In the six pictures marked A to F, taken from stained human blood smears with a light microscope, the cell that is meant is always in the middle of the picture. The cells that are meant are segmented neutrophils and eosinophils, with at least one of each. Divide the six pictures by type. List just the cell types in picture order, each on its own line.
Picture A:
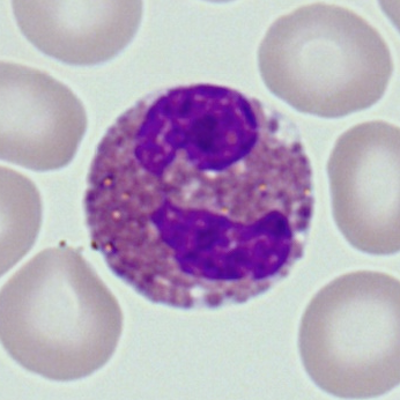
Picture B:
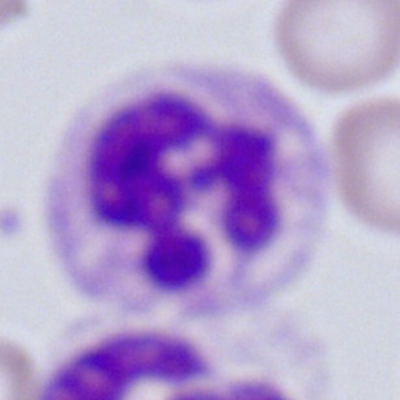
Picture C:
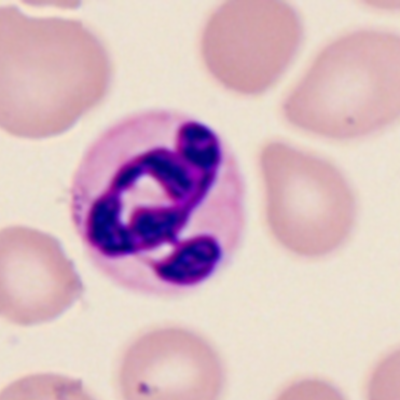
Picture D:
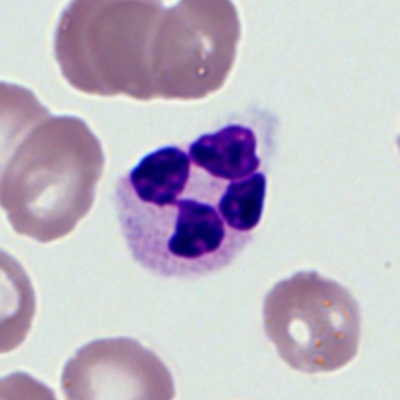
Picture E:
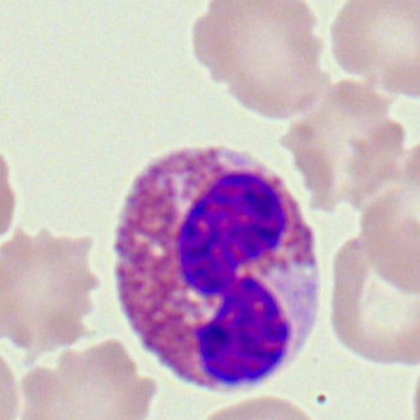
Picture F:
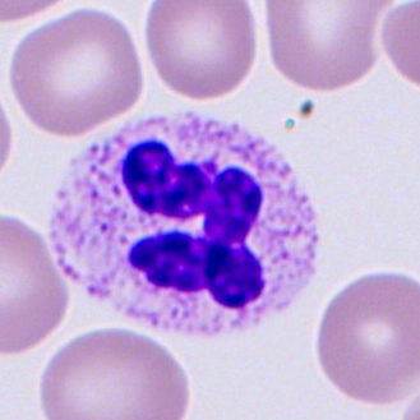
eosinophil
segmented neutrophil
segmented neutrophil
segmented neutrophil
eosinophil
segmented neutrophil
